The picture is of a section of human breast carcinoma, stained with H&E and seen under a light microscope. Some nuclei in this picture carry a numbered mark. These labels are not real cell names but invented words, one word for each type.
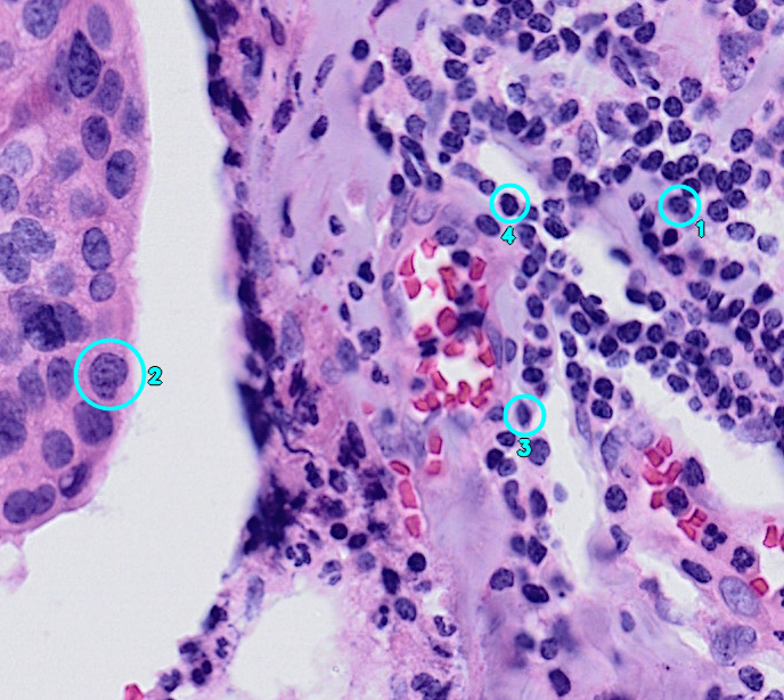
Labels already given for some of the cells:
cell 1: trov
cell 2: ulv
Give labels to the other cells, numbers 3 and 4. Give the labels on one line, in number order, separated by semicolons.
trov; trov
